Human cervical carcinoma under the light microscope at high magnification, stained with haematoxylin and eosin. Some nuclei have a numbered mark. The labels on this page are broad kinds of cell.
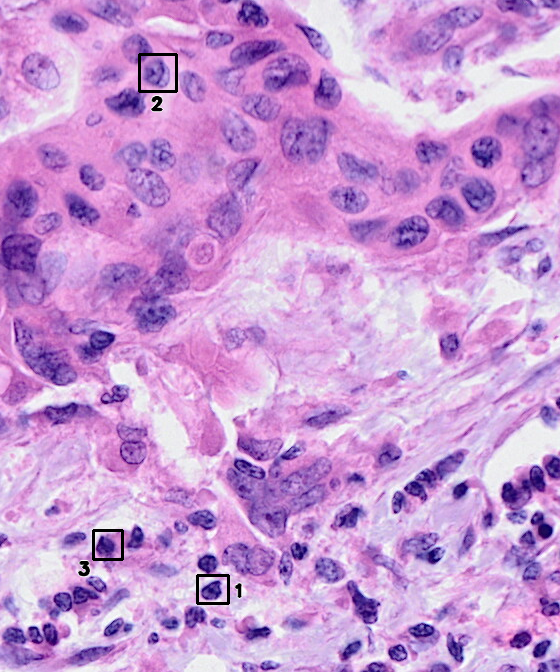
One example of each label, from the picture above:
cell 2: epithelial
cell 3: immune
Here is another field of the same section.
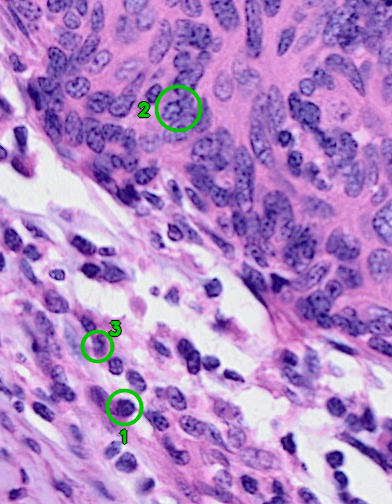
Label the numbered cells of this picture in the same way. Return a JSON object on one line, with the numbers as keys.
{"1": "immune", "2": "epithelial", "3": "immune"}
